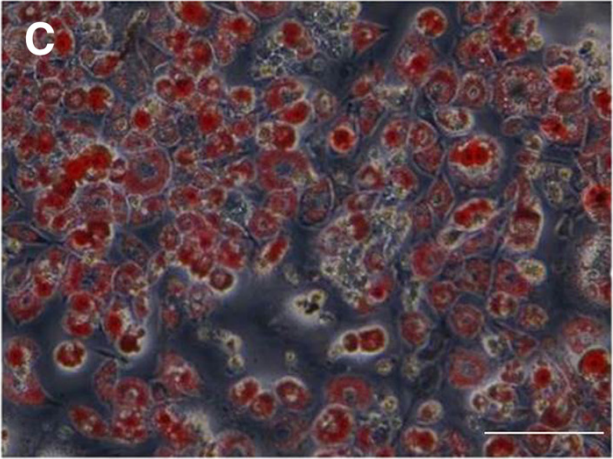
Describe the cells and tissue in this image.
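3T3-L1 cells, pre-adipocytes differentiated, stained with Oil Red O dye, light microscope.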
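These cultured cells carry red-stained fat droplets in their cytoplasm, and they are less evenly packed than in a confluent sheet. Most cells are rounded and hold clusters of red droplets, which sometimes surround a paler centre. Scattered among them are cells filled with yellowish, refractile, unstained-looking granules. Here and there are dark open gaps with few or no cells. A handful of small, bright, rounded bodies sit loose among the attached cells.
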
